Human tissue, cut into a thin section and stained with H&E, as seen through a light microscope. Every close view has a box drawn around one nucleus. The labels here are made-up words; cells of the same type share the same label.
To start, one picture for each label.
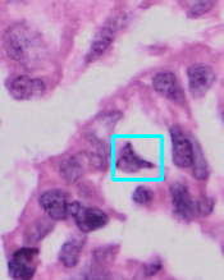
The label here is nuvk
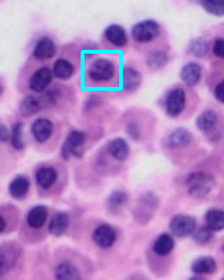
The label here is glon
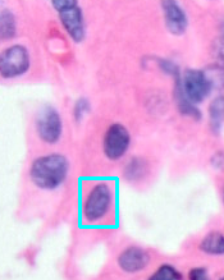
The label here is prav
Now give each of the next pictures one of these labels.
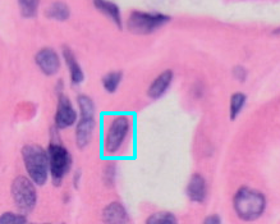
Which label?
prav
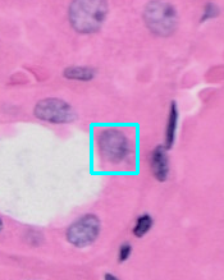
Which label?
prav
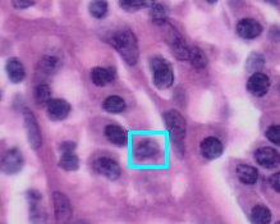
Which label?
glon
